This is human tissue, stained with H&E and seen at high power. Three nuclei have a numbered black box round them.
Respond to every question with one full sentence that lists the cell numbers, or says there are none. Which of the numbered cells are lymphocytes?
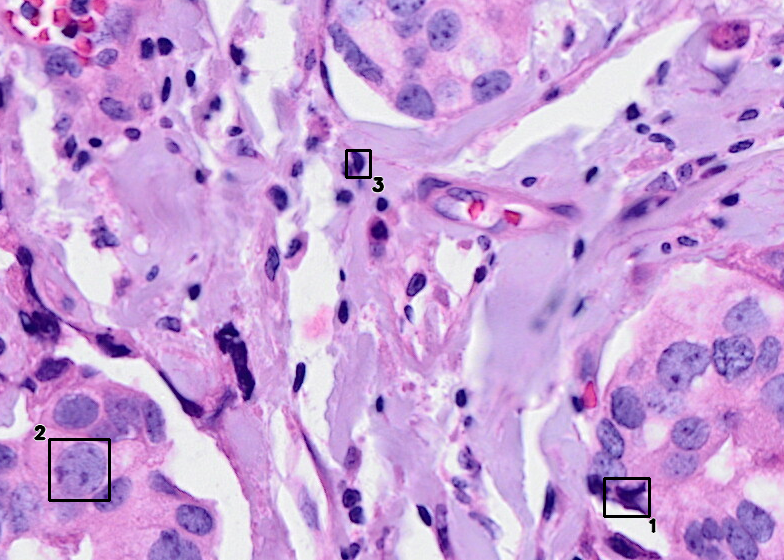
The cell bearing the number 3 is a lymphocyte, unlike the rest of the numbered cells.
